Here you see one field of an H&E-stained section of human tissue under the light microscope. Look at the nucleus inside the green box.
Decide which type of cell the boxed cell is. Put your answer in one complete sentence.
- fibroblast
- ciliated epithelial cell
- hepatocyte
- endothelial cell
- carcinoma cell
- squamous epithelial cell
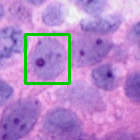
It is as a carcinoma cell that the boxed cell is classified.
